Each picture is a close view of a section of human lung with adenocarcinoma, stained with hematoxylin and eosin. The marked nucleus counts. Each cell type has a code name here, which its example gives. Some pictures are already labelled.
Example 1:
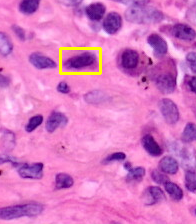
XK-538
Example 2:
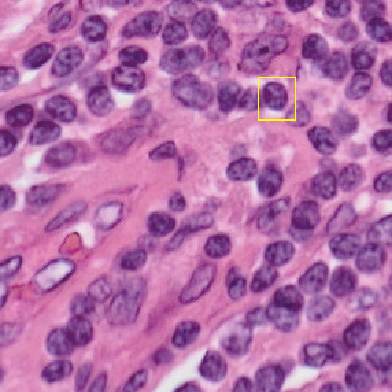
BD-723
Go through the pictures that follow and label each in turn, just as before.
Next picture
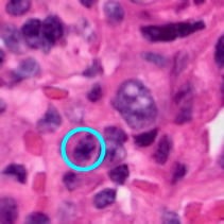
XK-538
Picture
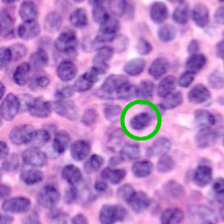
BD-723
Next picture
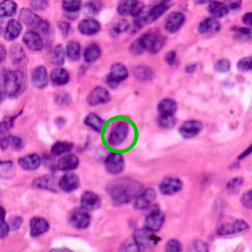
BD-723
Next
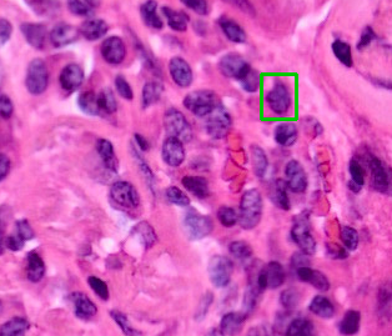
XK-538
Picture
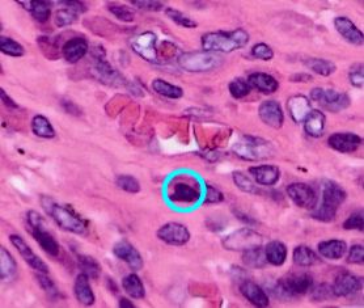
XK-538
